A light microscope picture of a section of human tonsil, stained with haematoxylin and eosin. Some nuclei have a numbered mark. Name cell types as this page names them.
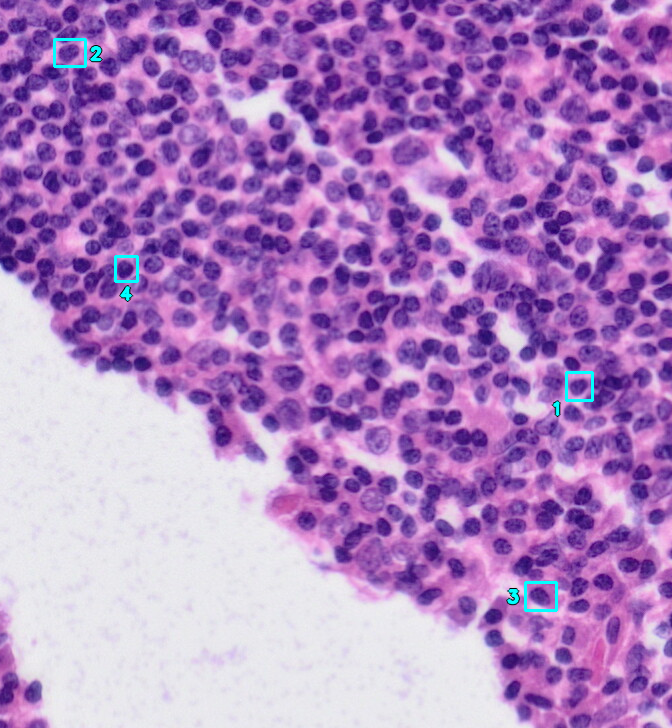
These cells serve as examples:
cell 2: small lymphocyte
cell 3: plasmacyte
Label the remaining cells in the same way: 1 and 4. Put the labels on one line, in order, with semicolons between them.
small lymphocyte; small lymphocyte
